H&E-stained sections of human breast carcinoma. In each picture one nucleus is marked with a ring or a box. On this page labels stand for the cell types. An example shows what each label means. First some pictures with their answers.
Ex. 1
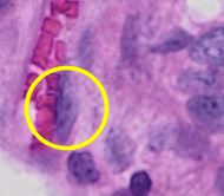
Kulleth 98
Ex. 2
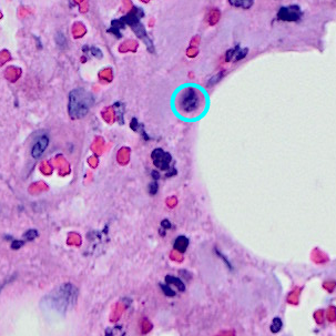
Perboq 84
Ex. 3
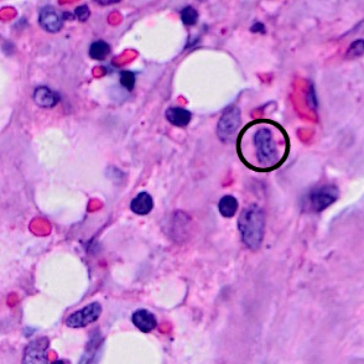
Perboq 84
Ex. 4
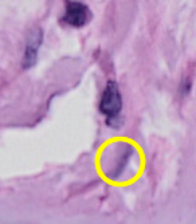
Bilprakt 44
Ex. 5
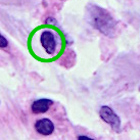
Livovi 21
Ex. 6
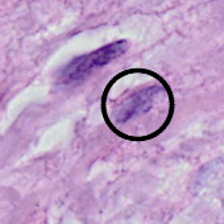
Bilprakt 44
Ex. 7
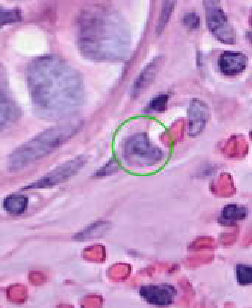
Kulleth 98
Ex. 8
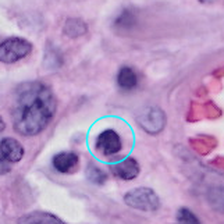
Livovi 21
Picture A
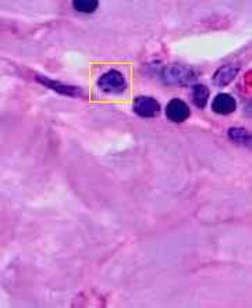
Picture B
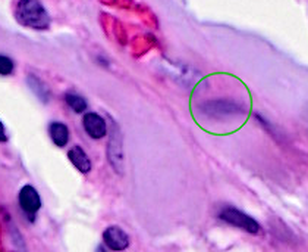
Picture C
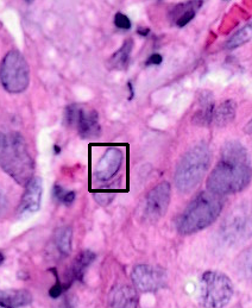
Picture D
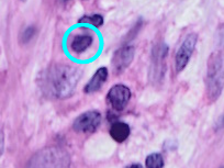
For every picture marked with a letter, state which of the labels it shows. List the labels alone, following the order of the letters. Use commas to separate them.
Livovi 21, Kulleth 98, Kulleth 98, Livovi 21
